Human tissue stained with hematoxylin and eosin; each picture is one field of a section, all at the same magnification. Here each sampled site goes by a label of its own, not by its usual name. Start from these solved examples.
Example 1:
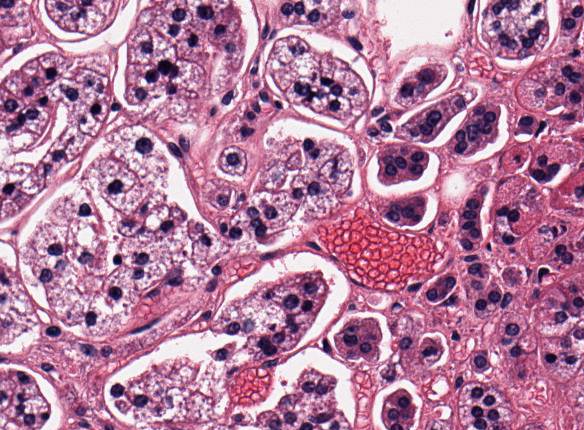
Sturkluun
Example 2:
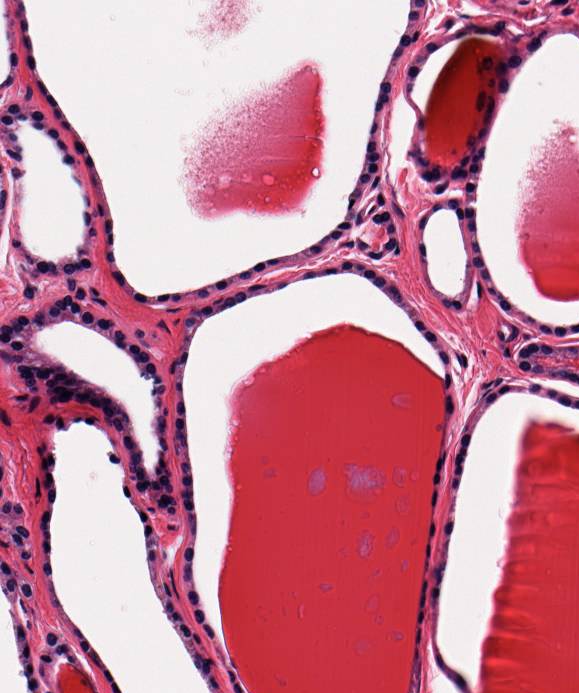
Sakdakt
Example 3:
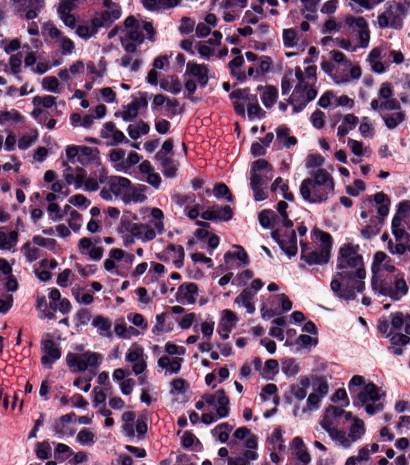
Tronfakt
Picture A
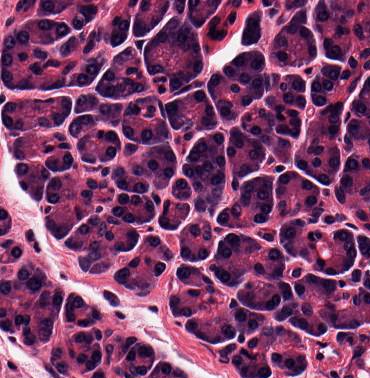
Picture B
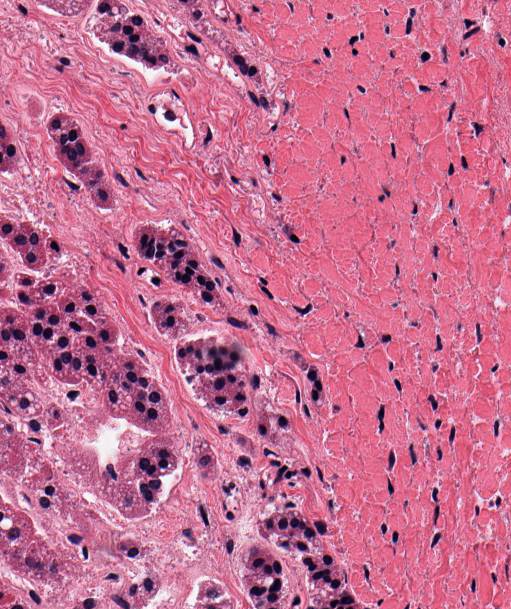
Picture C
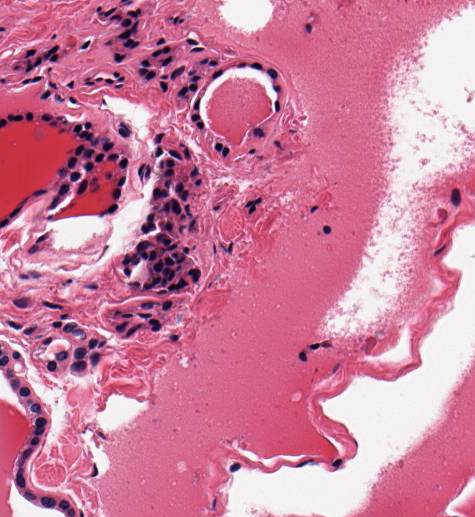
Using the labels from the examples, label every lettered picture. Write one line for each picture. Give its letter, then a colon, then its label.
A: Tronfakt
B: Sturkluun
C: Sakdakt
